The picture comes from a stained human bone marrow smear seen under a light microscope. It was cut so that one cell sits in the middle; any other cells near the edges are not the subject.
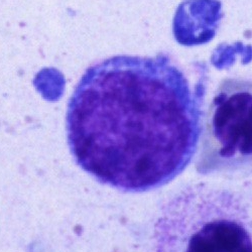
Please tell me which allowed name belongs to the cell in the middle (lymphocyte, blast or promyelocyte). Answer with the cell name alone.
blast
